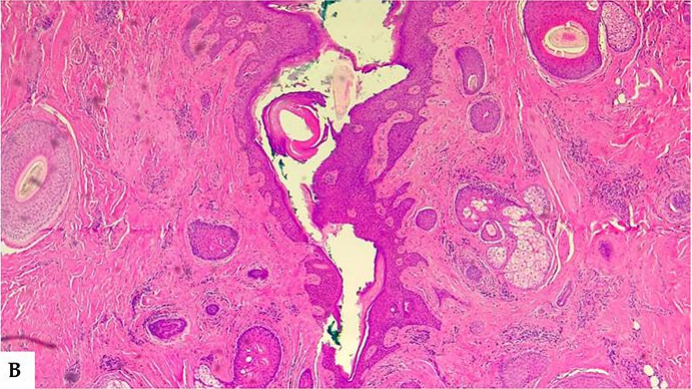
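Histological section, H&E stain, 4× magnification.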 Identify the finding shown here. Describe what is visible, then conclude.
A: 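Finger-like purple epithelial extensions bud from the wall of the central cleft into the surrounding pink dermis.
Answer: digitiform epithelial projections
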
